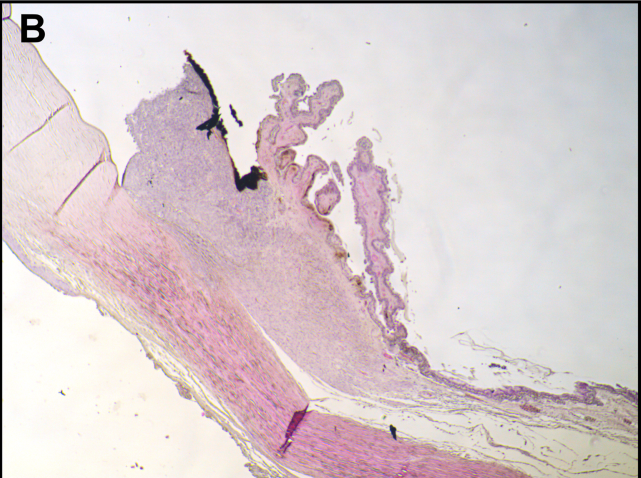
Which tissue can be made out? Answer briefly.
Ciliary body.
